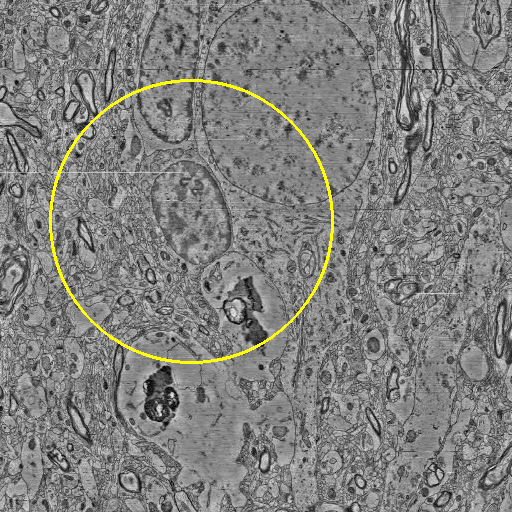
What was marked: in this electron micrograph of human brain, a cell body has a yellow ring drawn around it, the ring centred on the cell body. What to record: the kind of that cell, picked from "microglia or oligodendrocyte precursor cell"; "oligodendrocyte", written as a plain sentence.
The centred cell is an oligodendrocyte.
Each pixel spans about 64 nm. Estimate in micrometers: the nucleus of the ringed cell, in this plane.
Roughly 7 micrometres long and 5 micrometres wide; in this plane the nucleus is clearly longer than it is wide.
